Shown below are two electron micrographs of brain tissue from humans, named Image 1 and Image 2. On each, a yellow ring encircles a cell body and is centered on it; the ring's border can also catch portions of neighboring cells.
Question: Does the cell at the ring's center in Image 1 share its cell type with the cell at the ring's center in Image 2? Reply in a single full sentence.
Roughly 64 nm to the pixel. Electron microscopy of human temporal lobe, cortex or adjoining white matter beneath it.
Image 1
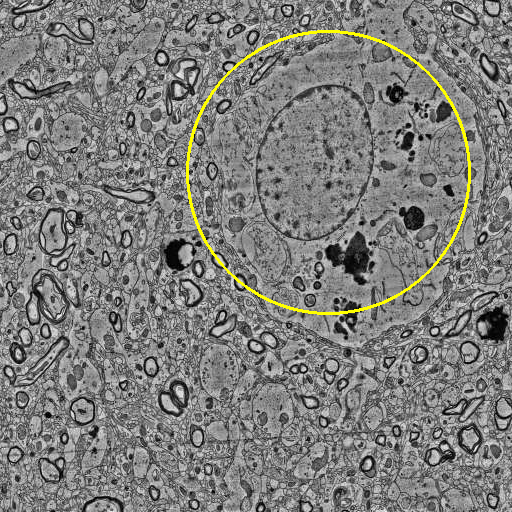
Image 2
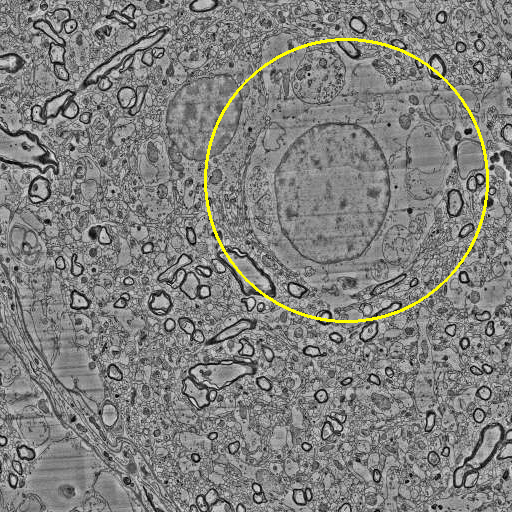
Yes, the two cells at the ring centers, in Image 1 and Image 2, share one cell type.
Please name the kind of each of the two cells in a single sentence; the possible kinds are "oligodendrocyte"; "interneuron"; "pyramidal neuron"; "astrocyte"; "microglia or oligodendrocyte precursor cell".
The first and the second cell are each an astrocyte.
